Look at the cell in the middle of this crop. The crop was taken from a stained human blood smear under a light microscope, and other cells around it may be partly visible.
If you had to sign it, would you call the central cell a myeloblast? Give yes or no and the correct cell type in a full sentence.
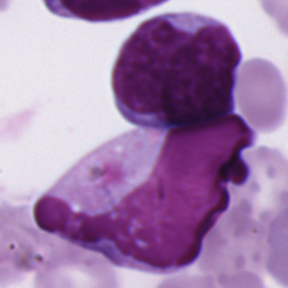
Yes, the central cell is to be recorded as a myeloblast.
